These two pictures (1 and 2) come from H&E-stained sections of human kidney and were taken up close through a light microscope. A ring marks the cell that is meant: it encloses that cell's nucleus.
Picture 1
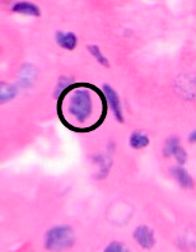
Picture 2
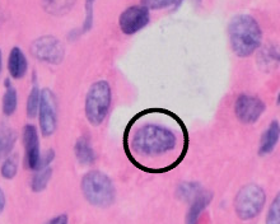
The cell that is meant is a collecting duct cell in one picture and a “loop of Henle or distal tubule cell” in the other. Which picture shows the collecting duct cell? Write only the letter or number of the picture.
1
